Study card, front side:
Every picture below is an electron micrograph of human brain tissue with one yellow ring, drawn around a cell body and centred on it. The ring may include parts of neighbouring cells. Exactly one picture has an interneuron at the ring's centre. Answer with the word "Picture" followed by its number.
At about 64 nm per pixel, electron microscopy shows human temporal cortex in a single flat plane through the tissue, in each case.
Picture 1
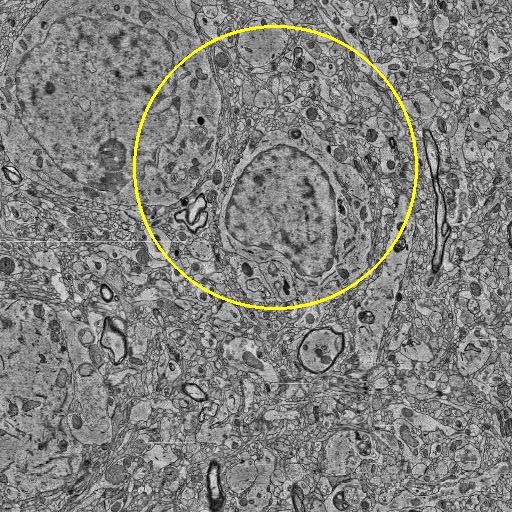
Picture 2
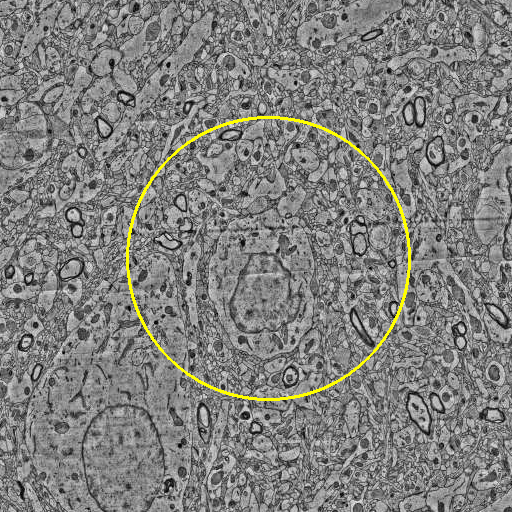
Picture 2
